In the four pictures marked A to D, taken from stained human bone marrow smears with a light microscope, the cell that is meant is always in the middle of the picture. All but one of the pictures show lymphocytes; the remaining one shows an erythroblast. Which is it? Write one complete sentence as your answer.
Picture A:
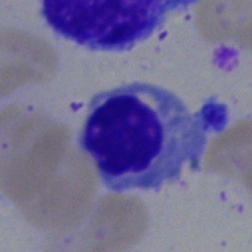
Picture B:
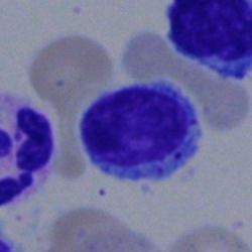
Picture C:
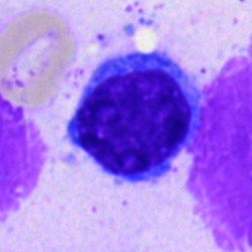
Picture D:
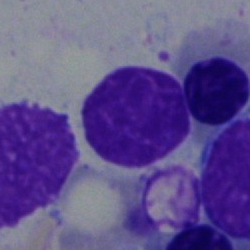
It is picture A that shows the erythroblast.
